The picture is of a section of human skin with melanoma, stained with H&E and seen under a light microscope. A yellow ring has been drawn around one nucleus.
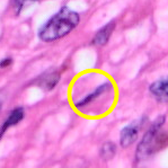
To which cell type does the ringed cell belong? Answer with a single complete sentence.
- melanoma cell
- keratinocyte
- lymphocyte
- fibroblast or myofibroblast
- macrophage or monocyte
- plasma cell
In this tissue sample, the ringed cell is a fibroblast or myofibroblast.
